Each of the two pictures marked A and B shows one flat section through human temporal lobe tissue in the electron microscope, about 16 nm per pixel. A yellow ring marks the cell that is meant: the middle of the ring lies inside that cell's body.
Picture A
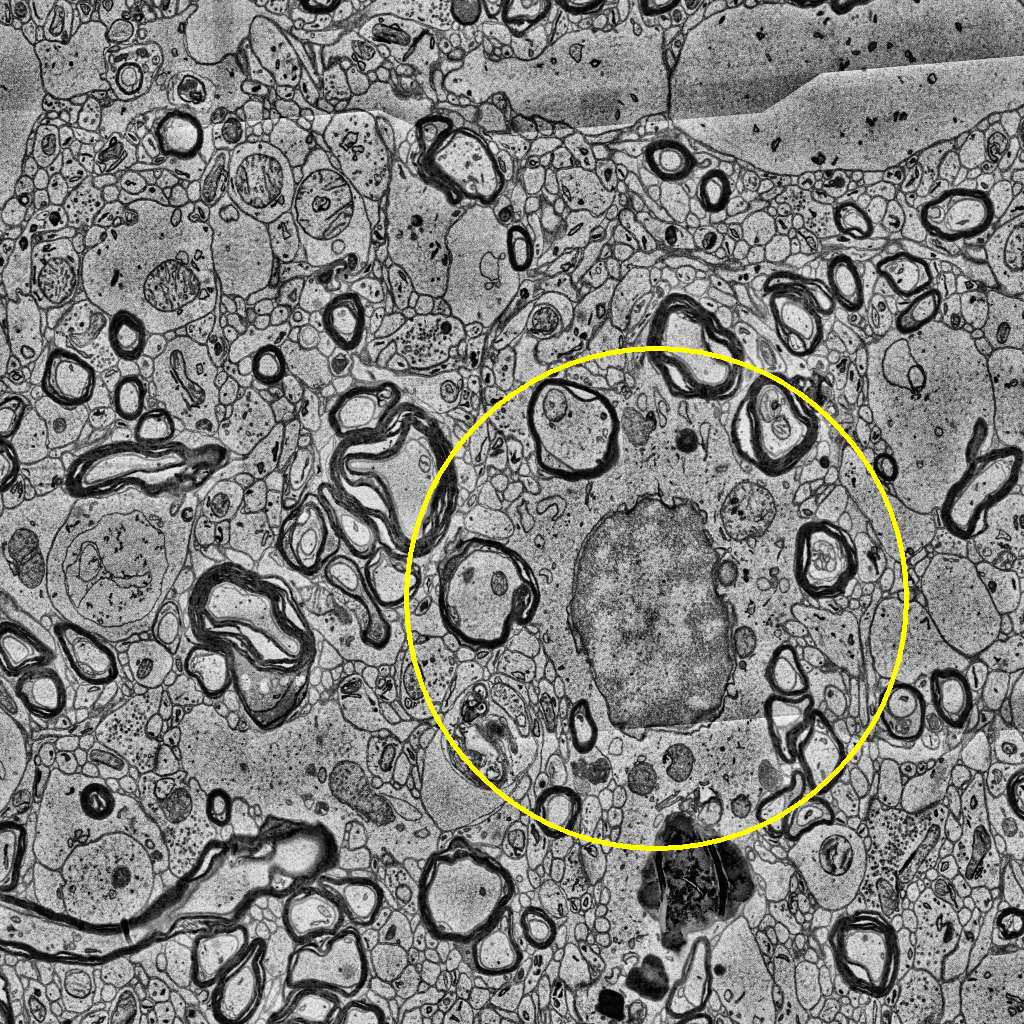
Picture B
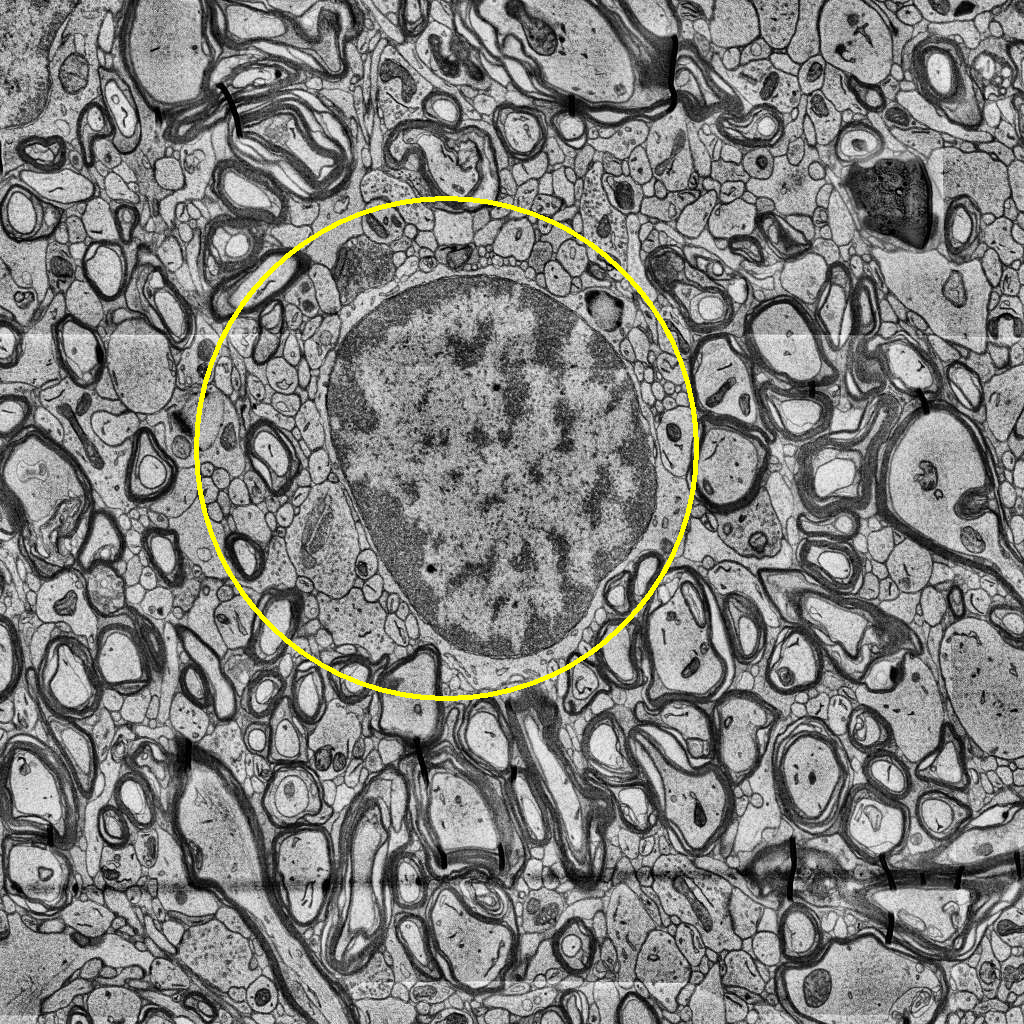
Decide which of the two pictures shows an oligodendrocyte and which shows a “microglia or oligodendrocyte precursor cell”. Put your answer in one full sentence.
The cell in picture A is an oligodendrocyte, and the one in picture B is a “microglia or oligodendrocyte precursor cell”.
